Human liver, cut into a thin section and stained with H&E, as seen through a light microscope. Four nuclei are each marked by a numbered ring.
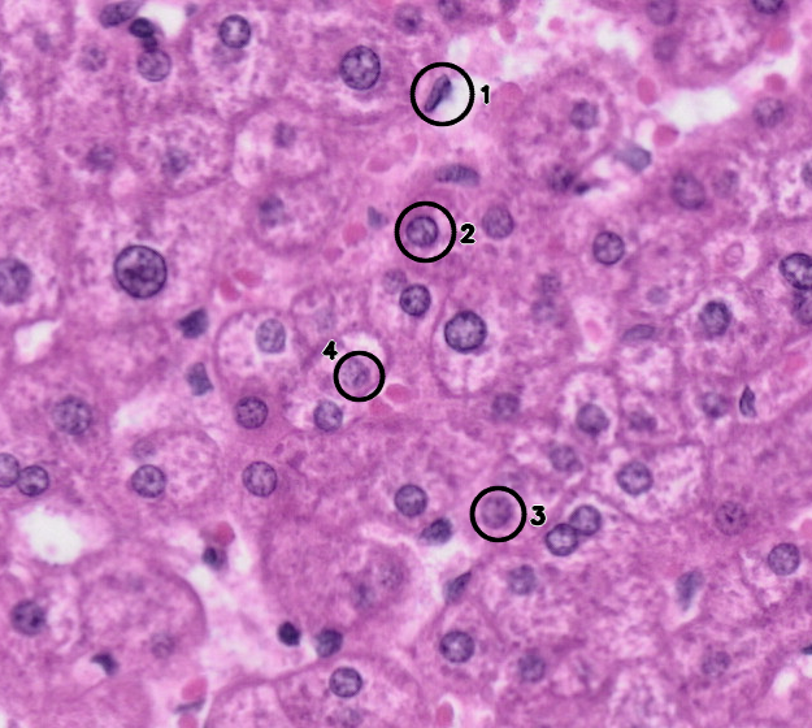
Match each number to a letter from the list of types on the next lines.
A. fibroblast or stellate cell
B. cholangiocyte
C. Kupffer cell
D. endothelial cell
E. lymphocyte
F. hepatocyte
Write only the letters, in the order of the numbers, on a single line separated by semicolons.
D; F; F; F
